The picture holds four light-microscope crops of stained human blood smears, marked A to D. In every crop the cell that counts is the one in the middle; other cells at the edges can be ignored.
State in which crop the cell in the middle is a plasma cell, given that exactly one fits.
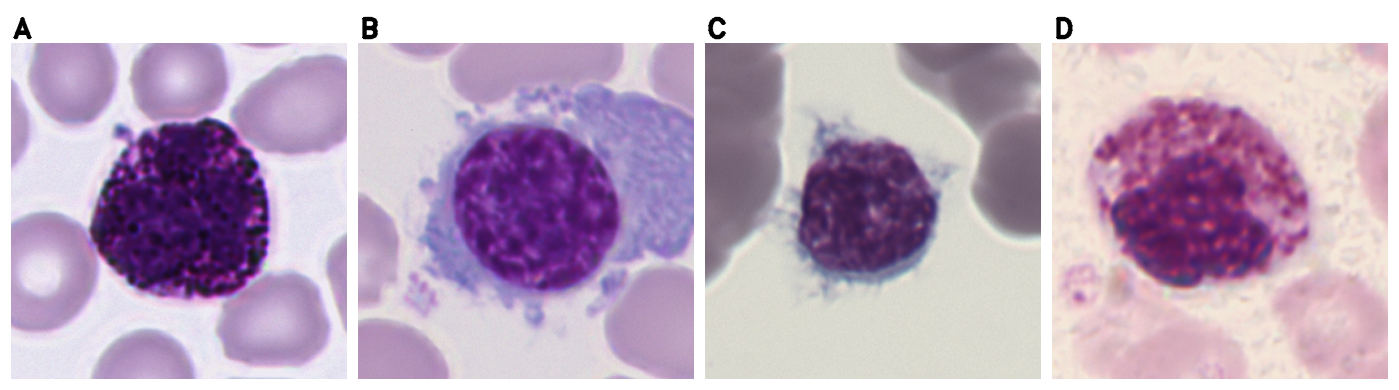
B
